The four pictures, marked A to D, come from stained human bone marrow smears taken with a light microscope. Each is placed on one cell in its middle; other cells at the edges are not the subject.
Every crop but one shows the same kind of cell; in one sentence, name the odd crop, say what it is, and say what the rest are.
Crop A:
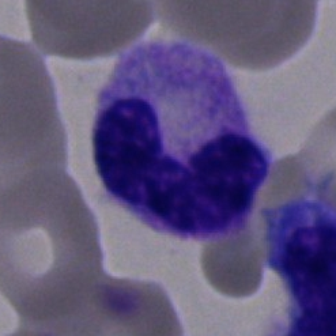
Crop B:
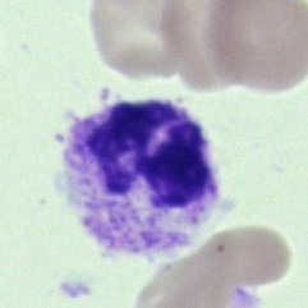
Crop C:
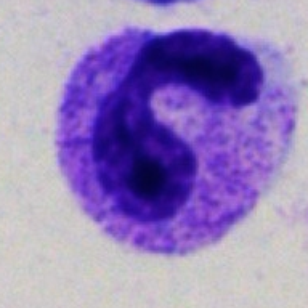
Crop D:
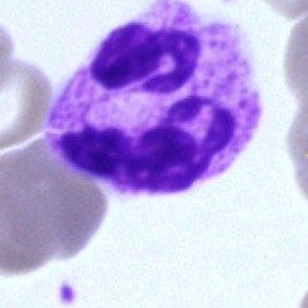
Crop A differs from its companions, showing a band neutrophil where they show segmented neutrophils.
